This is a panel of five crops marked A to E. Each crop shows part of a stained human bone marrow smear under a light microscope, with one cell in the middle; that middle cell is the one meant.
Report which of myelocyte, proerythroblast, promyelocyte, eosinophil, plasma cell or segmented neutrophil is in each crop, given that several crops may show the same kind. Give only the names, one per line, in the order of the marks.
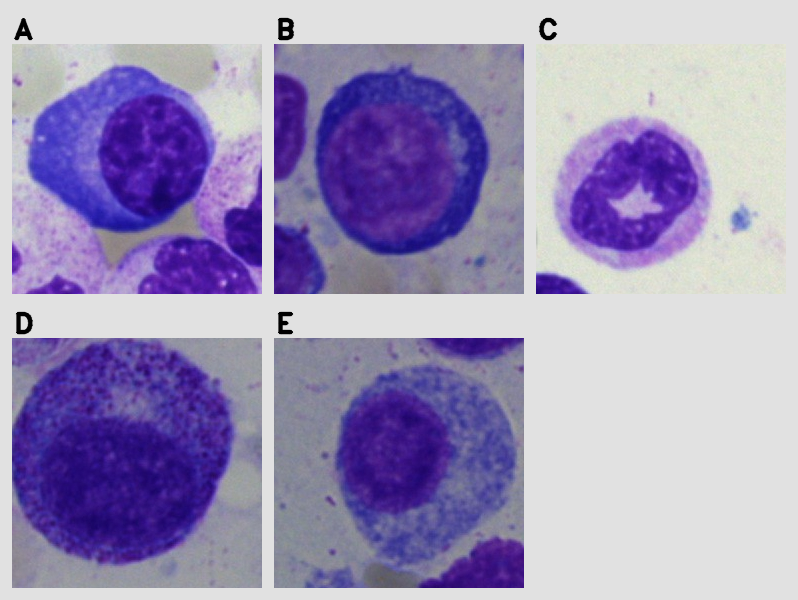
plasma cell
proerythroblast
segmented neutrophil
promyelocyte
myelocyte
